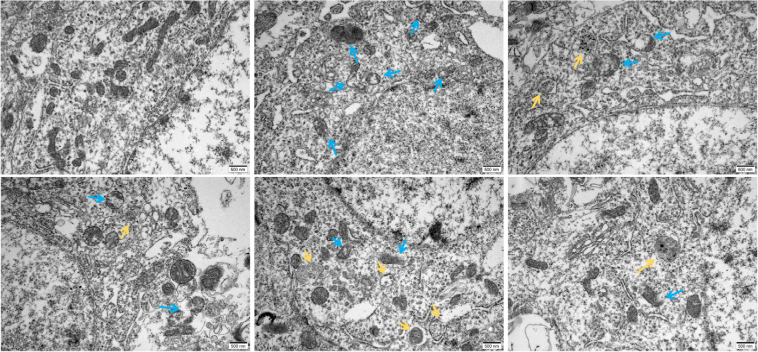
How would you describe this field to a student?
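The cytoplasm is crowded with membranes, small vesicles and oval mitochondria whose cristae show as internal lines. Some mitochondria look swollen, pale or with broken-up interiors, and next to them lie round membrane-bound vesicles filled with dense, mixed material.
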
